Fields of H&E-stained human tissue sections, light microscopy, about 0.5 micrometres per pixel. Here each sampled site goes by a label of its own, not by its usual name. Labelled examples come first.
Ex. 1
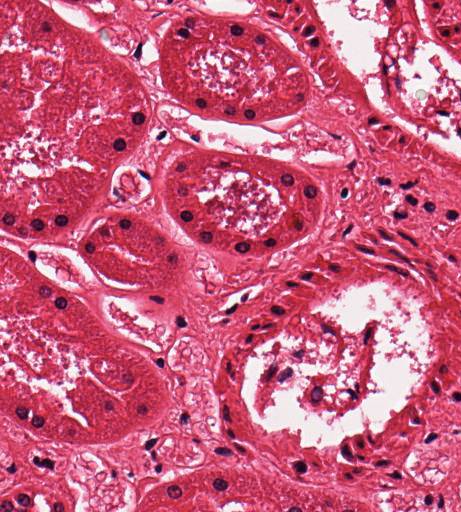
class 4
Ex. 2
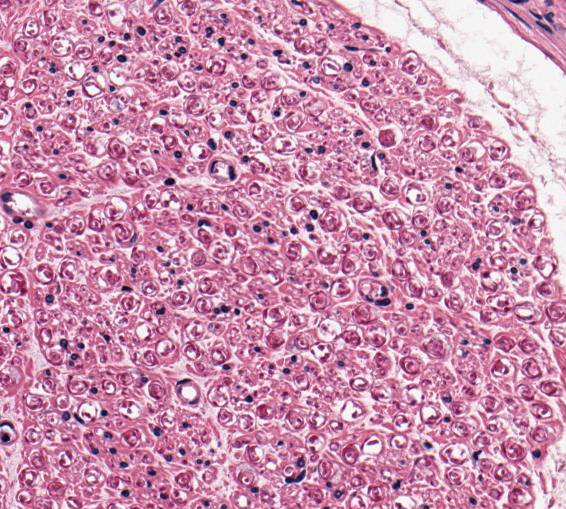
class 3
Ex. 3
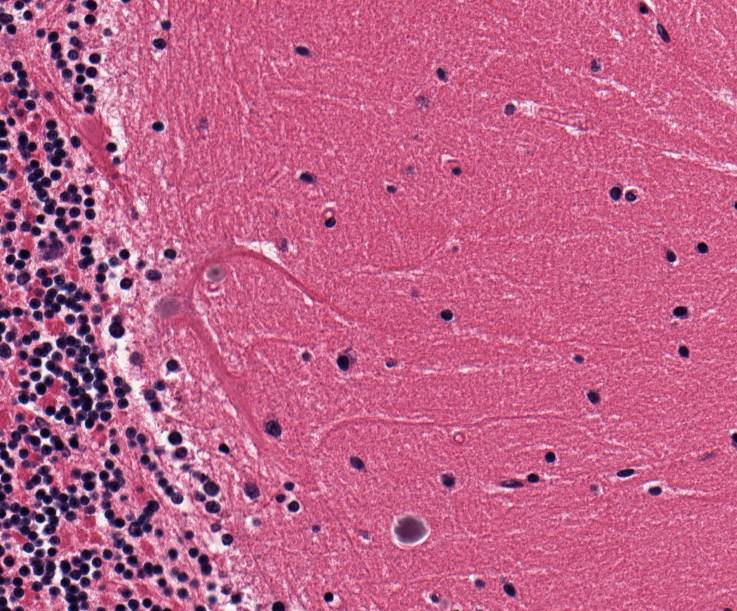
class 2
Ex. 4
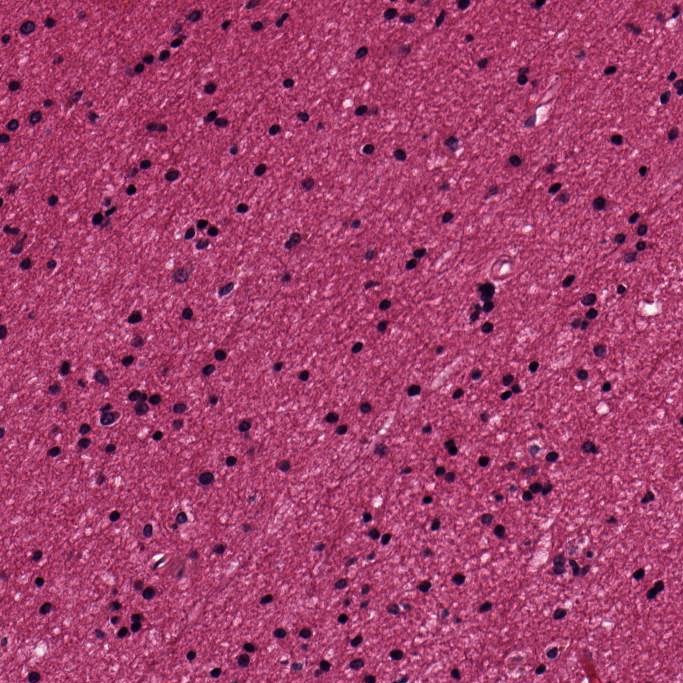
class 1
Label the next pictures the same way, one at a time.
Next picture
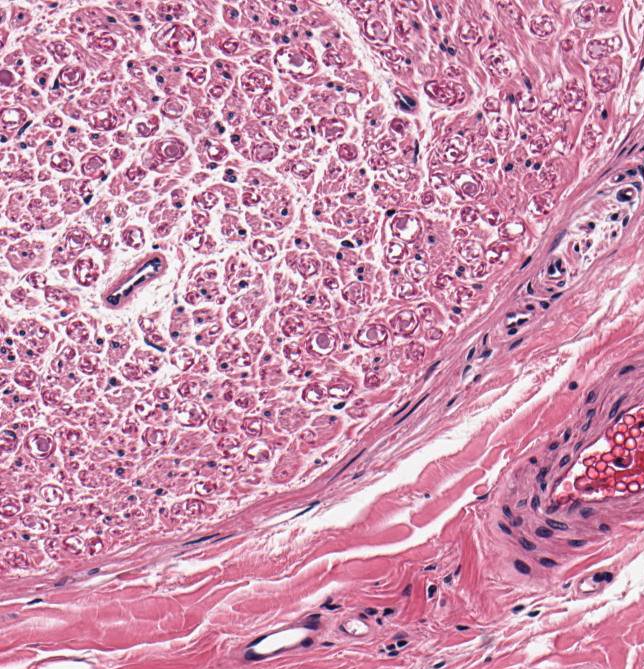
class 3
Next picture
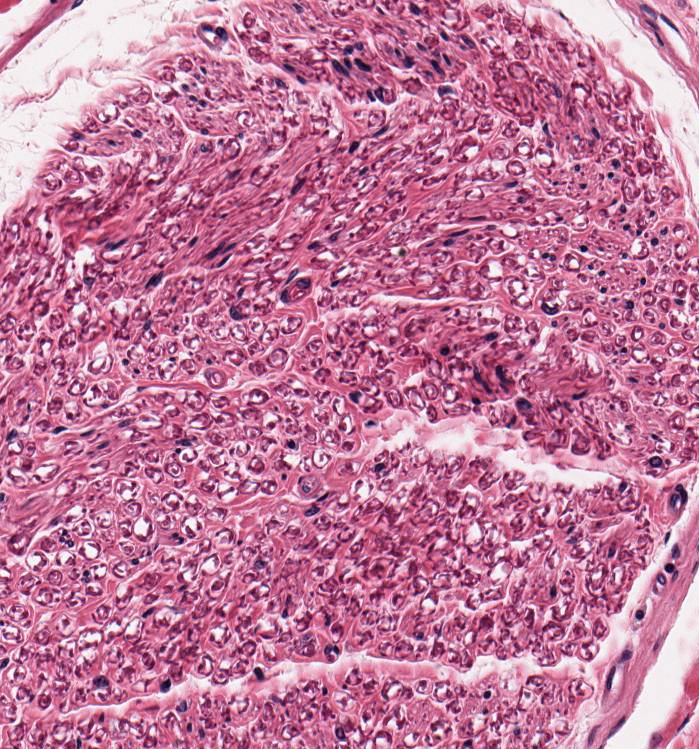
class 3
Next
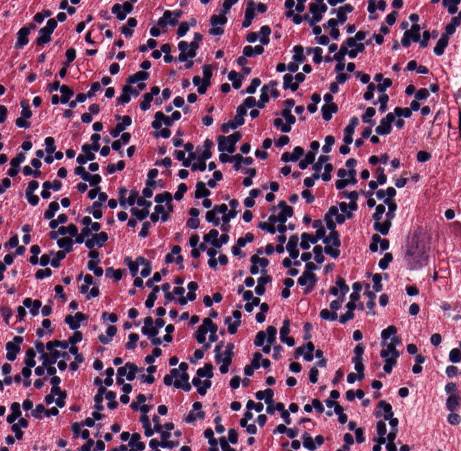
class 2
